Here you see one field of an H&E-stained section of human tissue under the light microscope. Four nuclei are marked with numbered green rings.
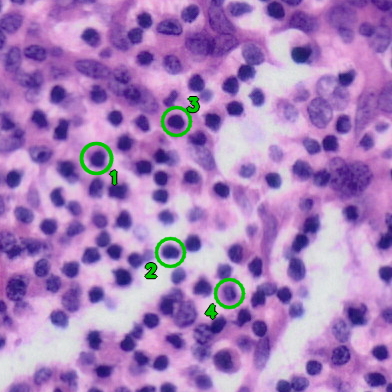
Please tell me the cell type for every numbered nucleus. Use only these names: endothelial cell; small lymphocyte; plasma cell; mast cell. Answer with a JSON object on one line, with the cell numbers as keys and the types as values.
{"1": "plasma cell", "2": "small lymphocyte", "3": "plasma cell", "4": "plasma cell"}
